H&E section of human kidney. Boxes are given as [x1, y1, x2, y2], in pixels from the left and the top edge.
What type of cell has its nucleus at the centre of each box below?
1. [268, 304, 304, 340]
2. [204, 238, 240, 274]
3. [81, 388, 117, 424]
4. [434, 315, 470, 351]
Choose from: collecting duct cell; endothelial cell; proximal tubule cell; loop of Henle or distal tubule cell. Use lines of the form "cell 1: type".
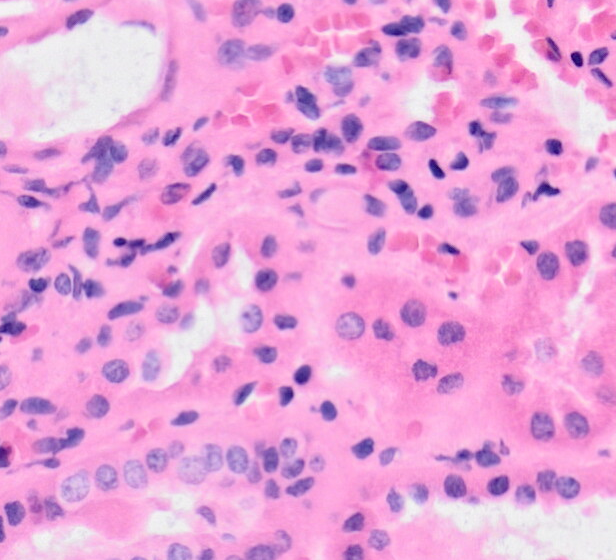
cell 1: loop of Henle or distal tubule cell
cell 2: loop of Henle or distal tubule cell
cell 3: loop of Henle or distal tubule cell
cell 4: proximal tubule cell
